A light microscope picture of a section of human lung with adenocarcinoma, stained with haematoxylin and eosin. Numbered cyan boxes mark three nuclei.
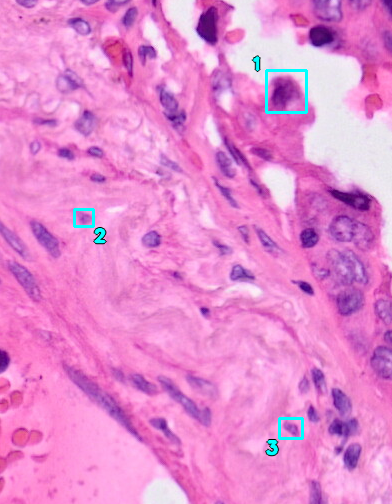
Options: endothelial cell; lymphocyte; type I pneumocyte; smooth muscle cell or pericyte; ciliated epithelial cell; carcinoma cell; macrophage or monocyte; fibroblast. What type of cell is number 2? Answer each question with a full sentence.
Cell 2, as marked in the section, is a smooth muscle cell or pericyte.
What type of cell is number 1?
Among the marked nuclei, number 1 belongs to a carcinoma cell.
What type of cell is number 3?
It is as a smooth muscle cell or pericyte that the cell numbered 3 is identified.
